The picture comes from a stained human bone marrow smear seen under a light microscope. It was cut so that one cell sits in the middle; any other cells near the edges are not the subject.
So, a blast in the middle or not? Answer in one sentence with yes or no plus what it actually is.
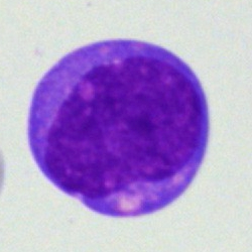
Yes, the cell that lies centrally is a blast.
